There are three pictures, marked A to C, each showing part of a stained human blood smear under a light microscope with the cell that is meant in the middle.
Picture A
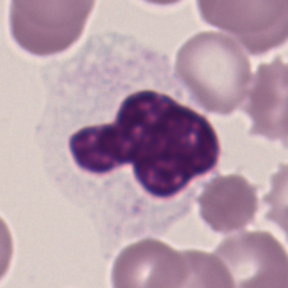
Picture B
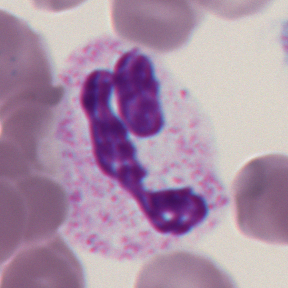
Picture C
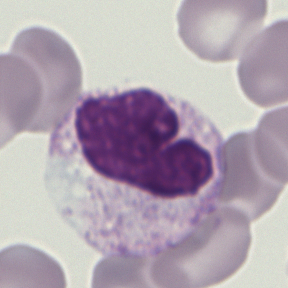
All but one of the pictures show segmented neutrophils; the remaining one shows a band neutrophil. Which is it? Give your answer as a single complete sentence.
The picture with the band neutrophil is C.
